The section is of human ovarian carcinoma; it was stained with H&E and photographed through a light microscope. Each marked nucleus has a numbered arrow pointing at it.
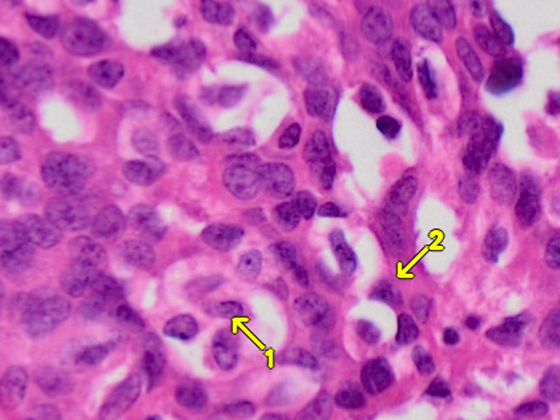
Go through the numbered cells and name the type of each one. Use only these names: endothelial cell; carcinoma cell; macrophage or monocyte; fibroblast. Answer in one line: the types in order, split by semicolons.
macrophage or monocyte; carcinoma cell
